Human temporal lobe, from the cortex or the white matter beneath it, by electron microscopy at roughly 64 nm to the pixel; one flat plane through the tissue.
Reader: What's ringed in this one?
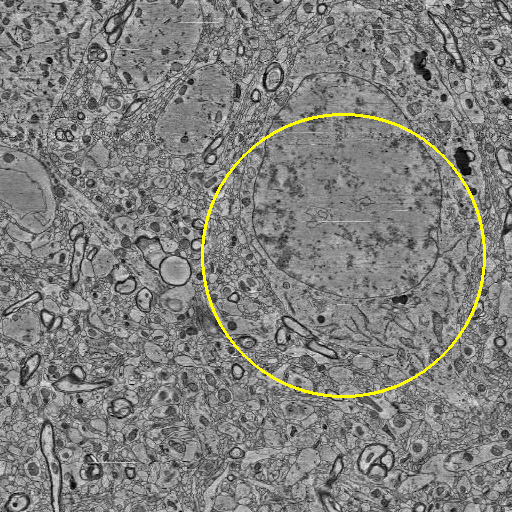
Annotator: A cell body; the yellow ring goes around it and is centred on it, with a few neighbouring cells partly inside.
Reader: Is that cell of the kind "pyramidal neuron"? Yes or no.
yes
